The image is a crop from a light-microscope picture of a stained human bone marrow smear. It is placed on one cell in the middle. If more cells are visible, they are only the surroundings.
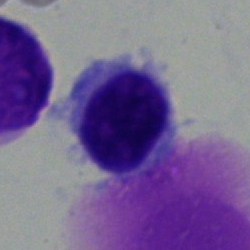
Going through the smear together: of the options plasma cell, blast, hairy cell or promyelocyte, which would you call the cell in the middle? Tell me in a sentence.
The crop shows a hairy cell in its centre.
